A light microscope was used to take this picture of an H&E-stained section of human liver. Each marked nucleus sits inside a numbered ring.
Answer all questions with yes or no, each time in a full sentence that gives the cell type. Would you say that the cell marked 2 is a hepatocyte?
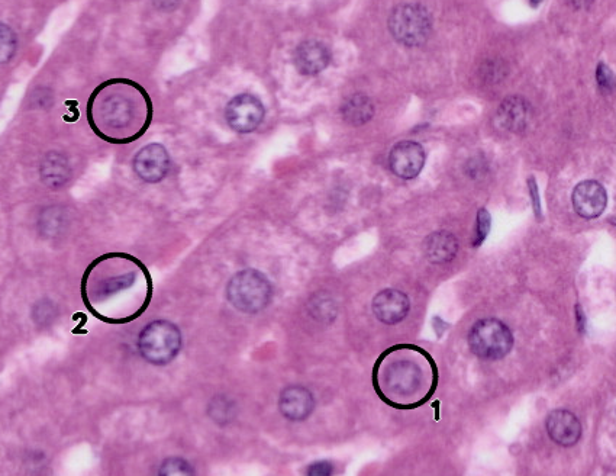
No, sorry, the cell labelled 2 is not a hepatocyte; it is an endothelial cell.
